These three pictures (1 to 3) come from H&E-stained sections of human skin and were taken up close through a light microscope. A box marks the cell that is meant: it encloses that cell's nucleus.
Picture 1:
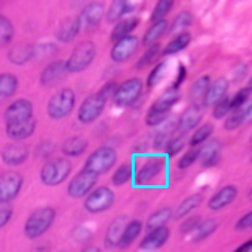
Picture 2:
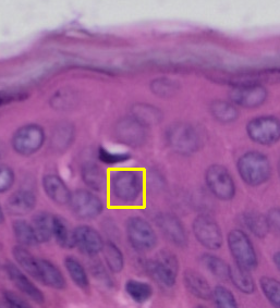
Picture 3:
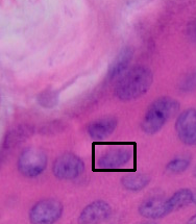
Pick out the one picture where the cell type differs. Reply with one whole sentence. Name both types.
The others show basal keratinocytes, but picture 3 shows a suprabasal keratinocyte.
